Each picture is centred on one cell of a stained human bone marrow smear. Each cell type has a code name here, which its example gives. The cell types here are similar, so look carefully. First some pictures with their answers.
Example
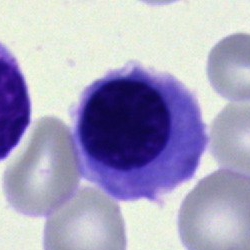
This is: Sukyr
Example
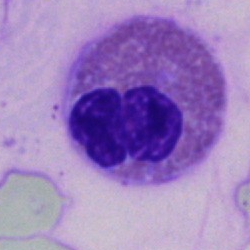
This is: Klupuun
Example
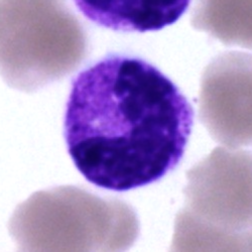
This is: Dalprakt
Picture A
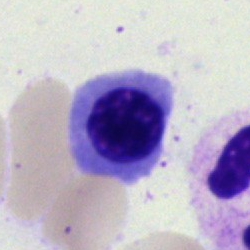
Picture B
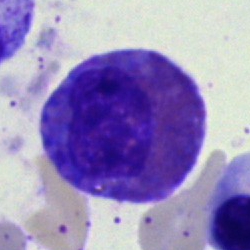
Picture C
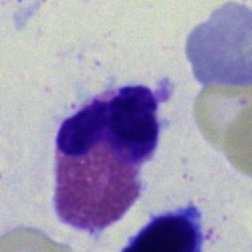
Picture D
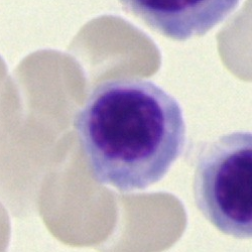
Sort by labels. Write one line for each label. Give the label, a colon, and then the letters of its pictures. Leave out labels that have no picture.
Sukyr: A, D
Klupuun: B, C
